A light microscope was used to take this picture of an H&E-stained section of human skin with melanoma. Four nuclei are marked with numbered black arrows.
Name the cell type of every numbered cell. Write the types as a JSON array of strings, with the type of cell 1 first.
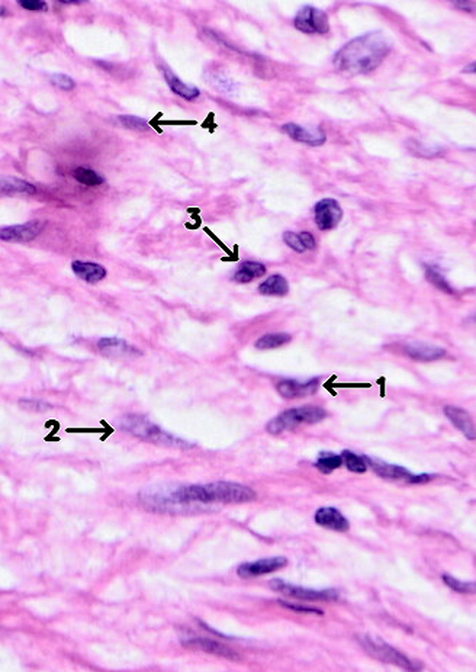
["fibroblast or myofibroblast", "fibroblast or myofibroblast", "macrophage or monocyte", "fibroblast or myofibroblast"]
